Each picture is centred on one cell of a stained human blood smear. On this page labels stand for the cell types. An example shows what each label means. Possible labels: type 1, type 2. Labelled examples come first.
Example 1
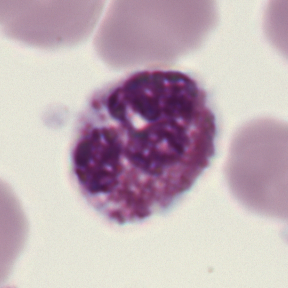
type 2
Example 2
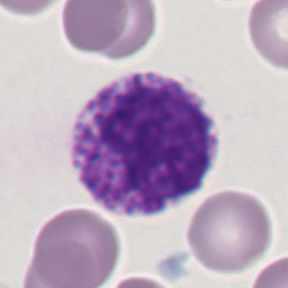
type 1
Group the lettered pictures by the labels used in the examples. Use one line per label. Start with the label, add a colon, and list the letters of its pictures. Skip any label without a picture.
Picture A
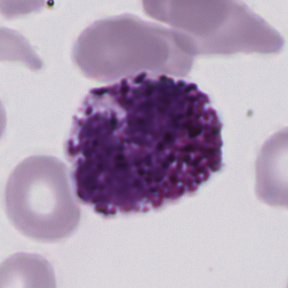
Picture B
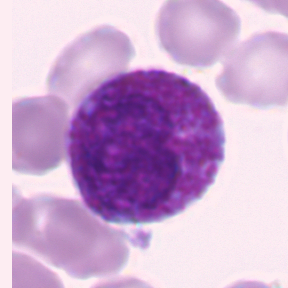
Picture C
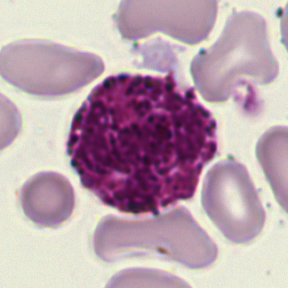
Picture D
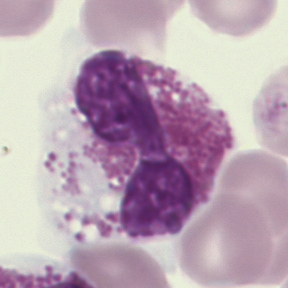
type 1: A, C
type 2: B, D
